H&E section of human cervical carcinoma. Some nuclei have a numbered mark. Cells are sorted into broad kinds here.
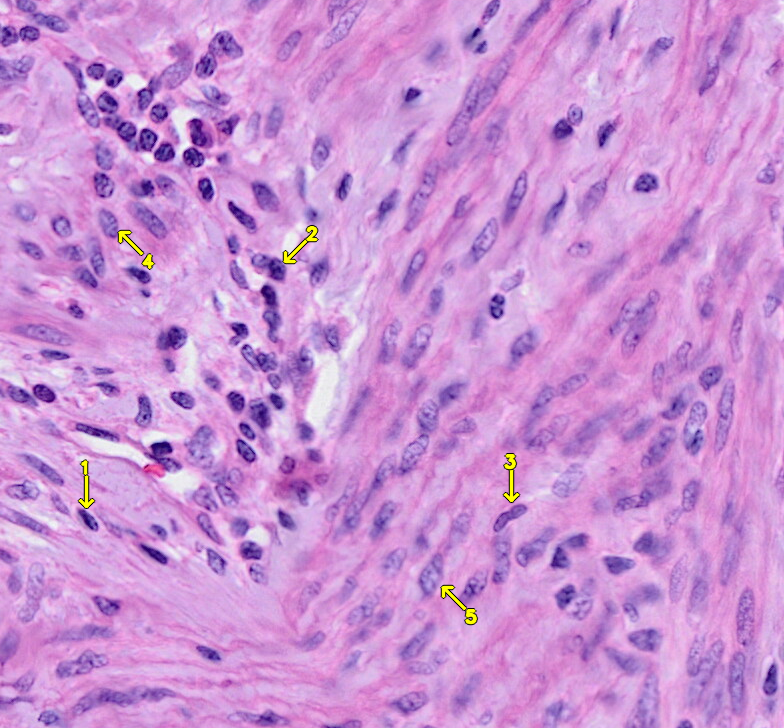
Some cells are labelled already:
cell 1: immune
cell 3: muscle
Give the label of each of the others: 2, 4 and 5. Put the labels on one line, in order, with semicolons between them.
immune; muscle; muscle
